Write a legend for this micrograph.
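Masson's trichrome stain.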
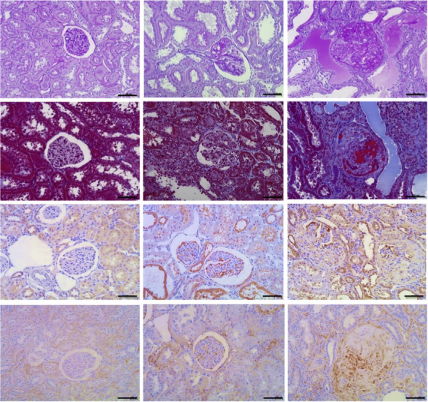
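This grid shows kidney cortex with round glomeruli lying among cross-sectioned tubules, in four rows of different stains. In the top row the tissue is stained magenta and purple, and in the right-hand image a glomerulus is surrounded by wide pale pink homogeneous areas. In the second row the tissue is red with blue-stained material that becomes more extensive toward the right, where it spreads between the tubules. The lower two rows show brown staining on a pale blue background, lining tubules and within glomeruli, more widespread in the middle and right-hand images.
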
